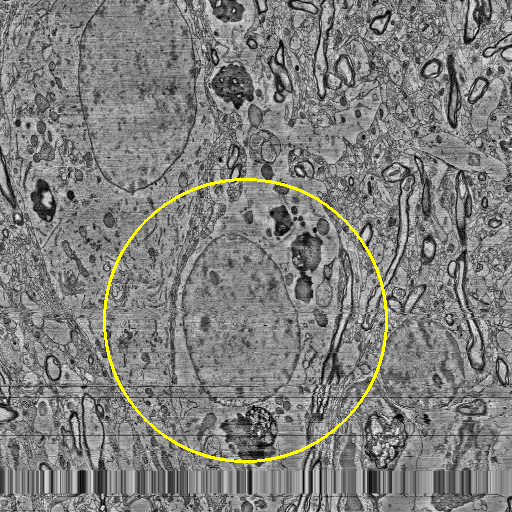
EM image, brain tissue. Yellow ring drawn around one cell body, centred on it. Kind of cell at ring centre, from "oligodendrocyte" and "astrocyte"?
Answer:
astrocyte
